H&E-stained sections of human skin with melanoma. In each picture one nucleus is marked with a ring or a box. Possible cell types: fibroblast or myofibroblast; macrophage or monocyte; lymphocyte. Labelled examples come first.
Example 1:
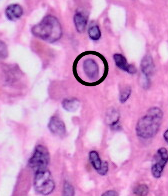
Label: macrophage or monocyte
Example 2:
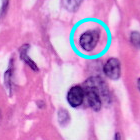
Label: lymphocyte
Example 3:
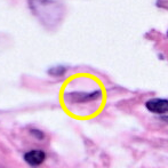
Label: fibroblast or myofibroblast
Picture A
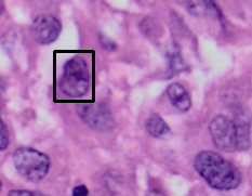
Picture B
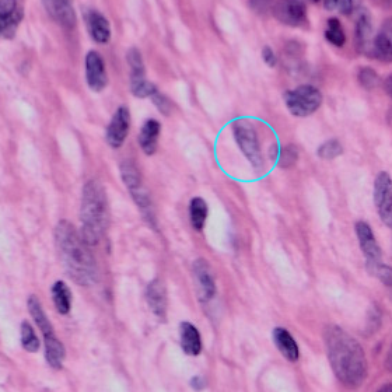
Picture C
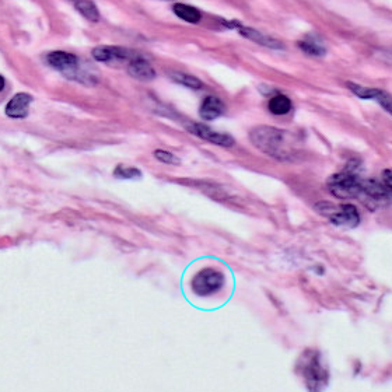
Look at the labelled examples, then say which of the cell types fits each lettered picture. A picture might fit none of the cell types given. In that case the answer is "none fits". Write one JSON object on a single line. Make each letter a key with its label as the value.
{"A": "none fits", "B": "fibroblast or myofibroblast", "C": "lymphocyte"}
